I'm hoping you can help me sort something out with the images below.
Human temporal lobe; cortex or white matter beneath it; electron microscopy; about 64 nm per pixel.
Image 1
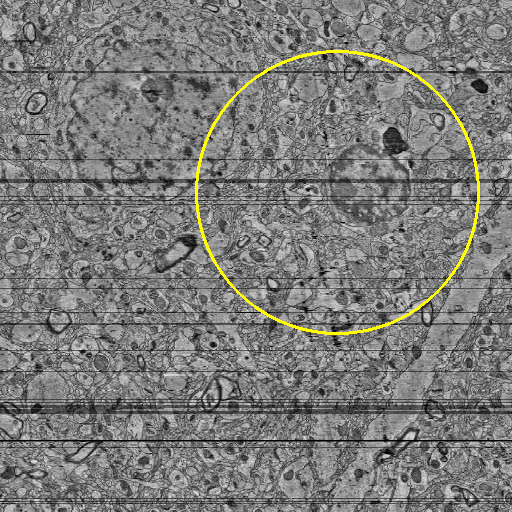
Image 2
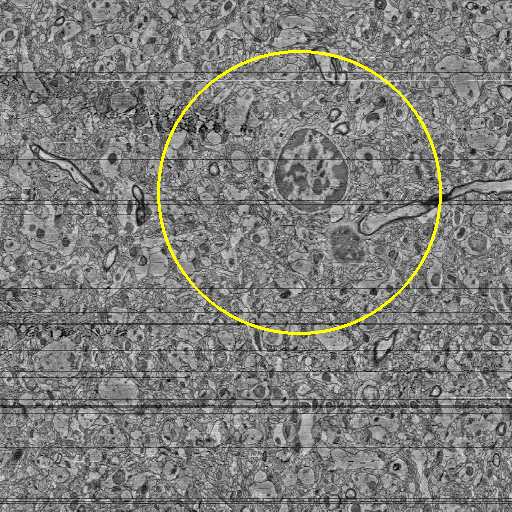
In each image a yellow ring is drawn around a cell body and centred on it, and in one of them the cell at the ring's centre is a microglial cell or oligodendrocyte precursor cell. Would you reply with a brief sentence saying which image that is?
In Image 2, the cell at the centre of the ring is the one you asked about.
